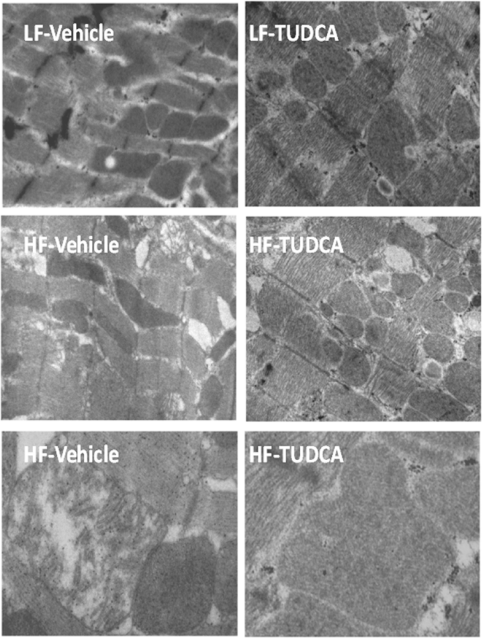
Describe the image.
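These are electron micrographs of heart muscle, showing myofibrils and the mitochondria packed between them. In most images the myofibrils run in orderly bundles with regular cross-banding, and the mitochondria sit as dense, oval bodies in rows between them. In some images the fibrillar pattern looks irregular and disrupted. The two higher-magnification images at the bottom show this more closely. One has pale, vacuolated areas beside dense mitochondria, while the other shows a more uniform, intact fibrillar texture.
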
